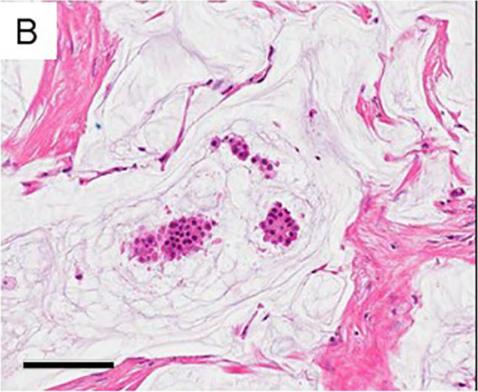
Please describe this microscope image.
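This high-power view of mucinous carcinoma shows small, tight clusters of tumor cells floating in abundant pale, stringy extracellular mucin. Bands of pink fibrous stroma with elongated nuclei border the mucin pool, which makes up most of the field.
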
